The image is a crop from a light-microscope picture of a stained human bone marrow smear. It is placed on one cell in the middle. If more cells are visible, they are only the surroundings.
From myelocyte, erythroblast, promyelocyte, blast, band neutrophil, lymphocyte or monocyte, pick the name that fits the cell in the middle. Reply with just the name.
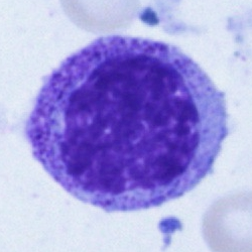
promyelocyte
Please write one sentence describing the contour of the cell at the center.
The contour of the cell is interrupted by ragged areas or by projections.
